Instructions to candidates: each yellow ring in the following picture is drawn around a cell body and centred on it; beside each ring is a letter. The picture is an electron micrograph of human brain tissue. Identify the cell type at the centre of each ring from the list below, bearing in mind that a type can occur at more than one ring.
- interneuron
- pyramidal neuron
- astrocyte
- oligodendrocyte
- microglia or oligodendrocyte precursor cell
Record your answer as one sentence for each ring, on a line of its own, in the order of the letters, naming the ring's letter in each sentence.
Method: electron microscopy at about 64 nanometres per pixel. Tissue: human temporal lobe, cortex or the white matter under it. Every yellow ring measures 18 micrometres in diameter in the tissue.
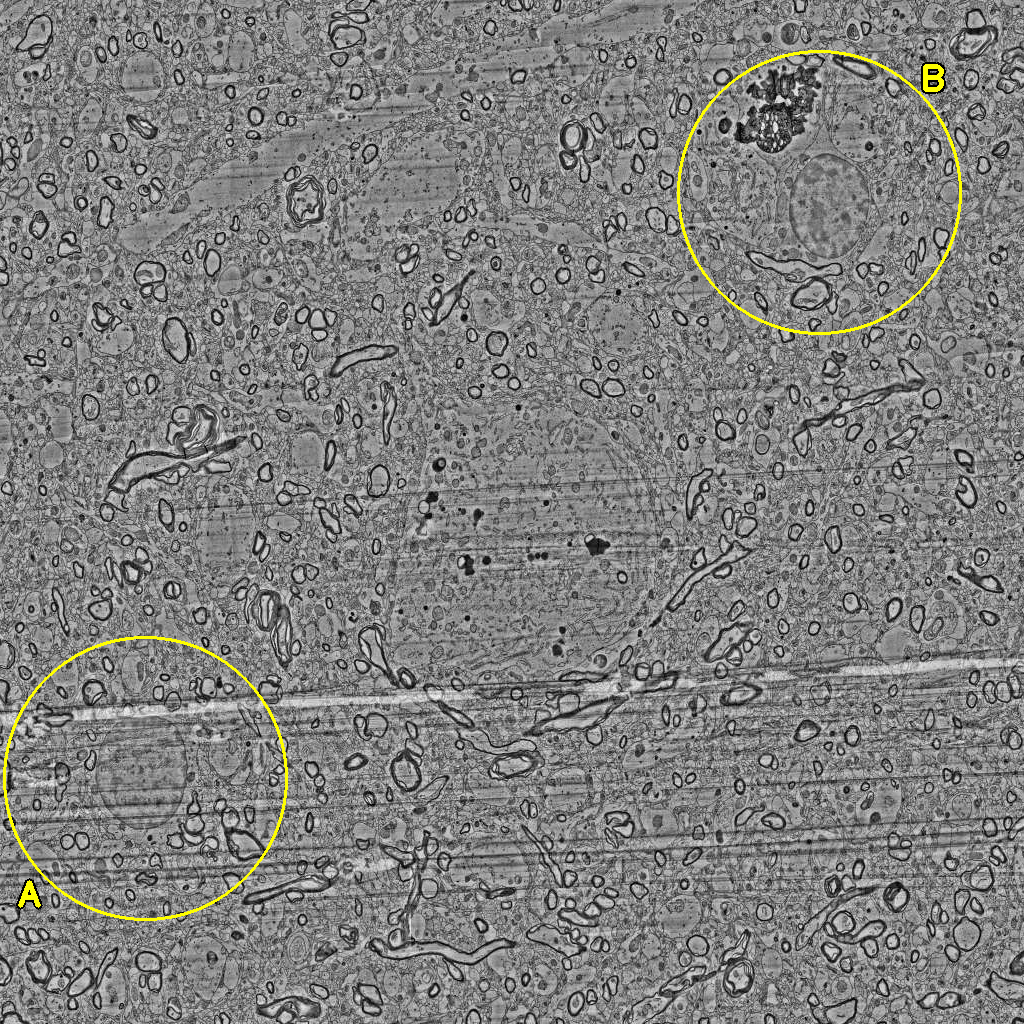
The cell centred in ring A is an oligodendrocyte.
The cell centred in ring B is an oligodendrocyte.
